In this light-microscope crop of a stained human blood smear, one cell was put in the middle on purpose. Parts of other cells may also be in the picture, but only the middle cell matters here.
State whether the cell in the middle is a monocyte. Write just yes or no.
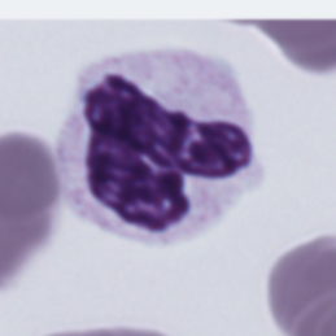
no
